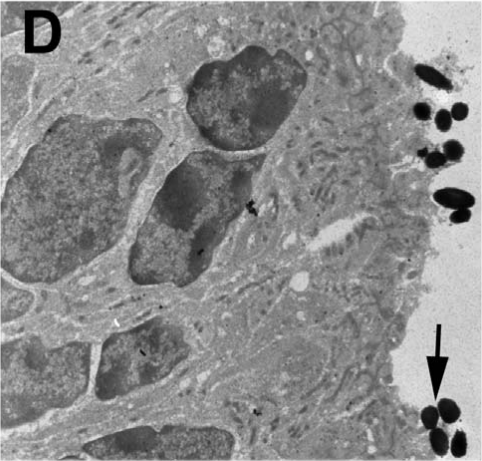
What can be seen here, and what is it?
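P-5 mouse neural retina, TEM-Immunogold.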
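At the left lie a few elongated nuclei with dark heterochromatin, and toward the right the tissue turns into a cytoplasm-rich zone crowded with small membranous profiles and elongated organelles. Along the right edge, against a pale space, sits a row of small, oval, very electron-dense black bodies. The cytoplasm-rich zone is made of immature inner segments of photoreceptors, and the dense black bodies are pigment granules from the pigment epithelium touching them; no outer segments are seen.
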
